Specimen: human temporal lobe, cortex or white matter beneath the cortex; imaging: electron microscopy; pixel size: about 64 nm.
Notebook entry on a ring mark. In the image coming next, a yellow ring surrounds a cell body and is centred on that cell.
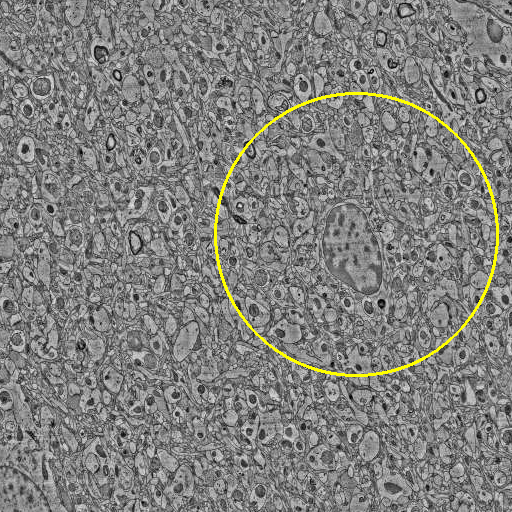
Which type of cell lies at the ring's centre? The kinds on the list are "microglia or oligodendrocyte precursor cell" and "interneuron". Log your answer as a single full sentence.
Centred in the yellow ring is a microglial cell or oligodendrocyte precursor cell, the cell recorded for this image.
